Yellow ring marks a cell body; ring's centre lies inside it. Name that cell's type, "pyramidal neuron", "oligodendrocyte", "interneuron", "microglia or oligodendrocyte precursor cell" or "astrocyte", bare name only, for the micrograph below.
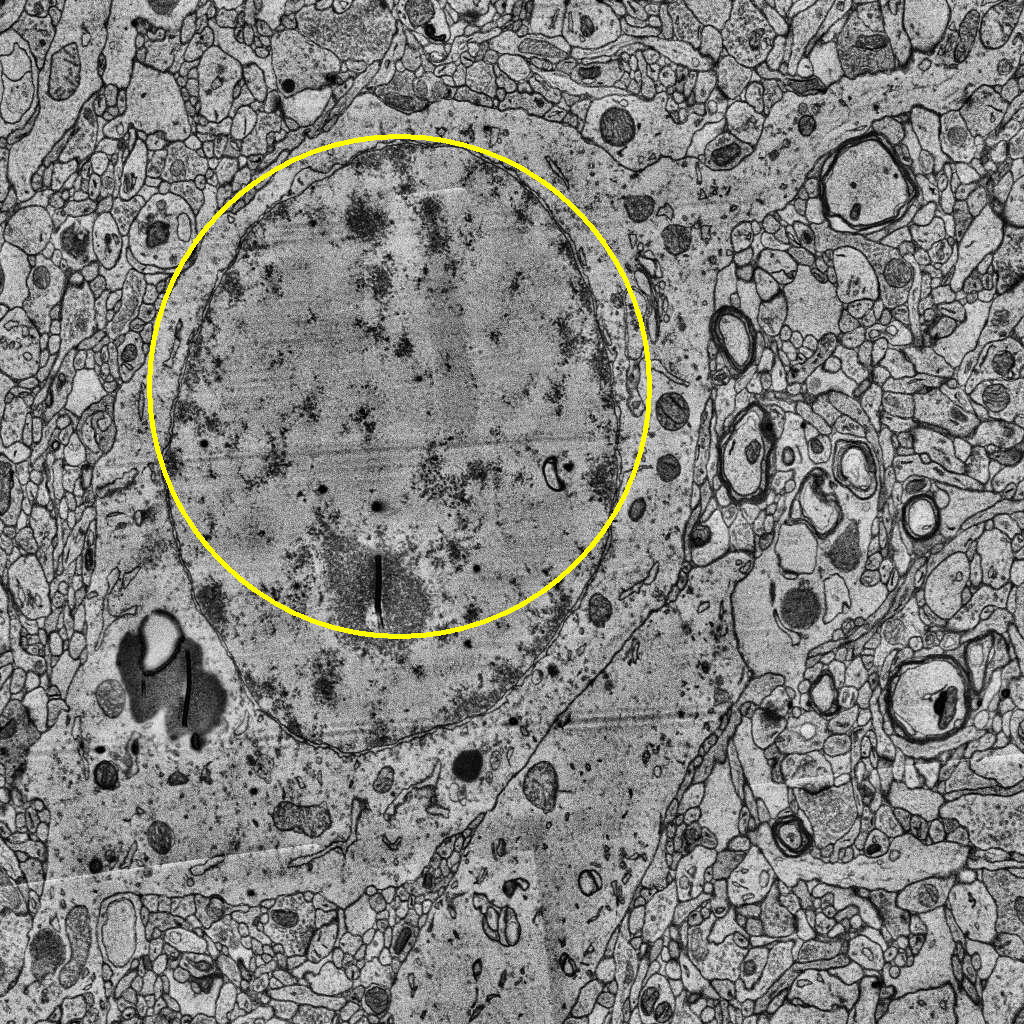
interneuron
